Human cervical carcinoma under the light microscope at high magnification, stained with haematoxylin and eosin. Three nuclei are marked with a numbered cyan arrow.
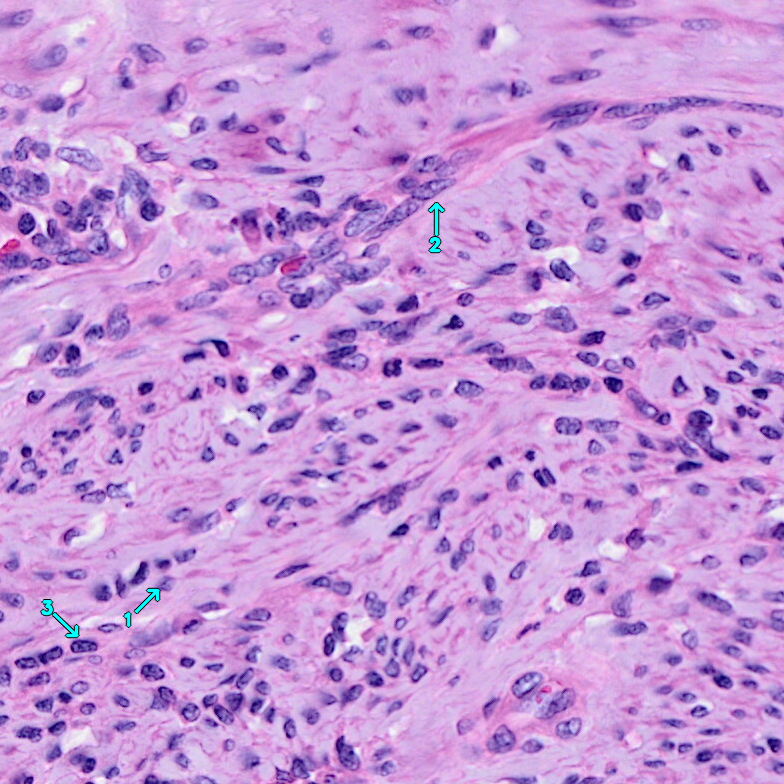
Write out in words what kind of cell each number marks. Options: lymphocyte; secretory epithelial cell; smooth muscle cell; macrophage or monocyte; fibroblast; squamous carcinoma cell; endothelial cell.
Cell 1 is a fibroblast. Cell 2 is an endothelial cell. Cell 3 is a lymphocyte.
